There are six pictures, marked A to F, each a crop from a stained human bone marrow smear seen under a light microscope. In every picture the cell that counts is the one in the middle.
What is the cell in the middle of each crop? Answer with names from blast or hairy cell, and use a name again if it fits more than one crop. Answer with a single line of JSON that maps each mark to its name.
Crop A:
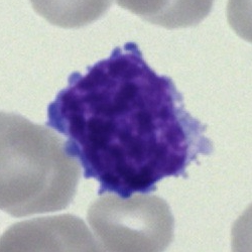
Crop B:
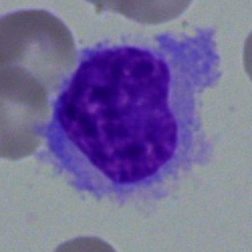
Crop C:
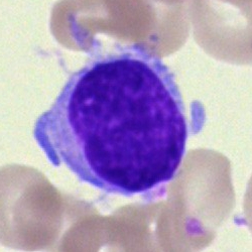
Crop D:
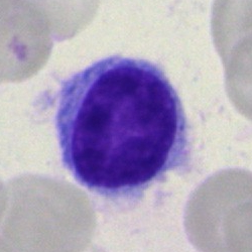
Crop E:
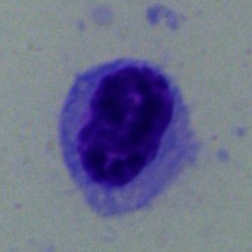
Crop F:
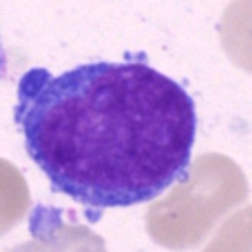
{"A": "blast", "B": "hairy cell", "C": "hairy cell", "D": "hairy cell", "E": "hairy cell", "F": "blast"}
